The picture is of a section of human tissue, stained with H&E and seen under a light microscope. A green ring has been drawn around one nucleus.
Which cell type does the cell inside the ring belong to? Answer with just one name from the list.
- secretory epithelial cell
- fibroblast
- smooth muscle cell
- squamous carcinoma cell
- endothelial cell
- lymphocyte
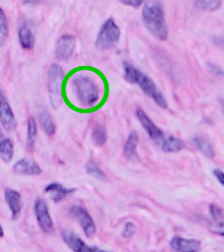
smooth muscle cell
